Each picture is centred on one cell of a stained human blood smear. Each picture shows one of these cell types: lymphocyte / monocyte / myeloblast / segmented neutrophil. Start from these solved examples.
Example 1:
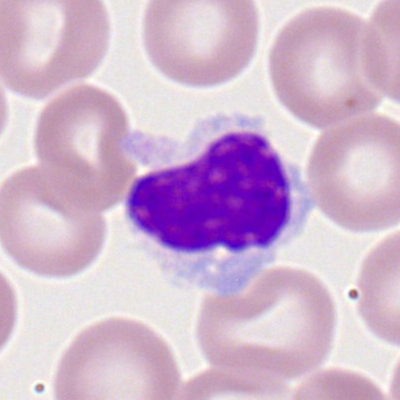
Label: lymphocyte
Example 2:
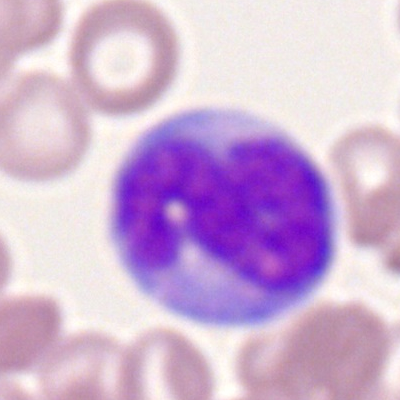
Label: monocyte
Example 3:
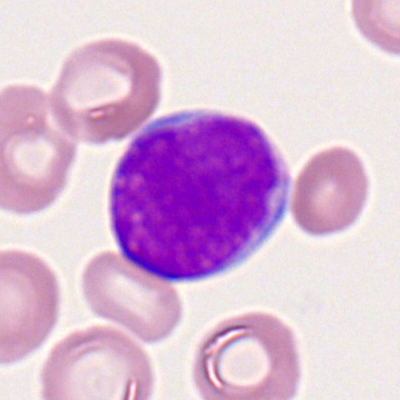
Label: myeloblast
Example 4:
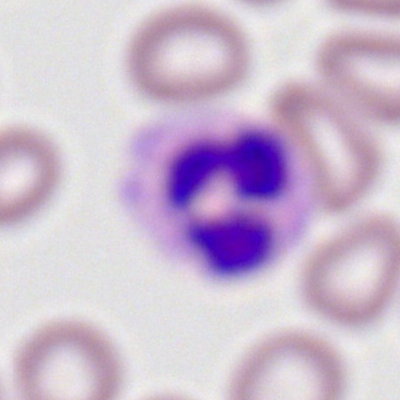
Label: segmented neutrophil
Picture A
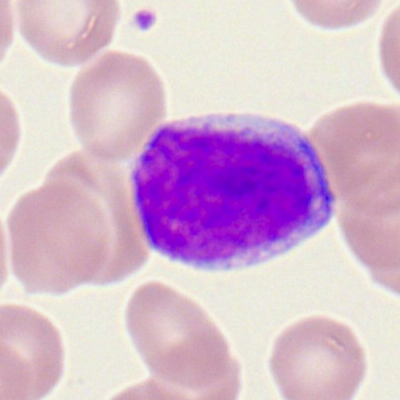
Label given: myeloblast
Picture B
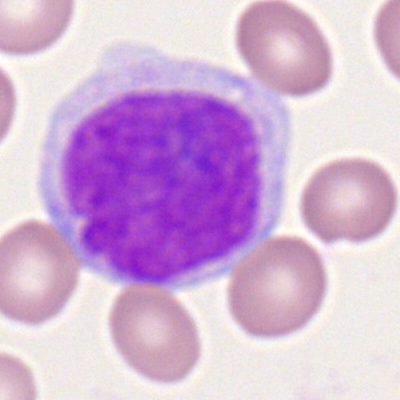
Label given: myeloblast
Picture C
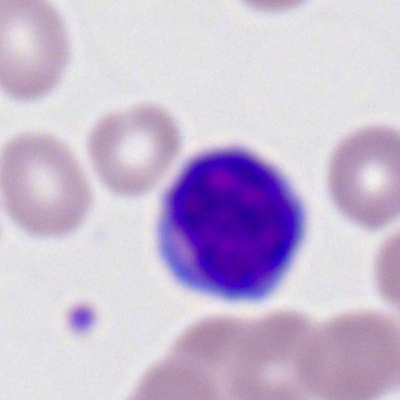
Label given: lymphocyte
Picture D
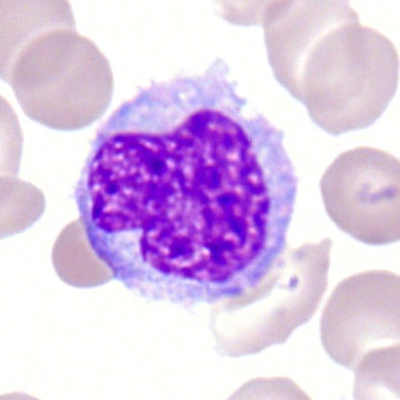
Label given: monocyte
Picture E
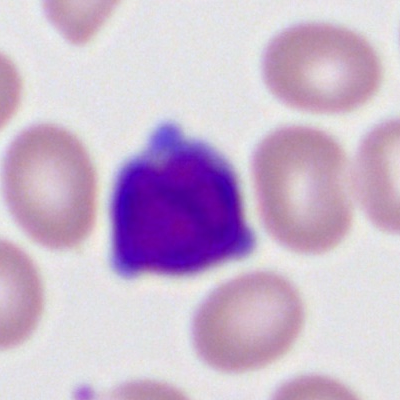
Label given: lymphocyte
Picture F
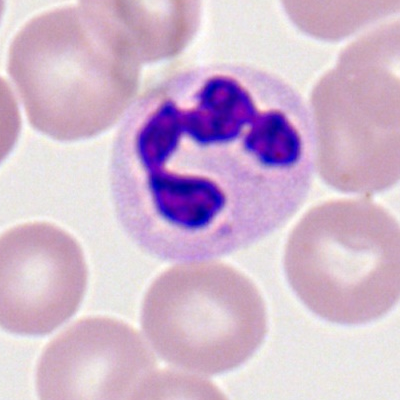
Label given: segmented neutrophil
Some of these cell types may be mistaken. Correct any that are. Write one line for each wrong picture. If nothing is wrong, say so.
None of the labels needs changing.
